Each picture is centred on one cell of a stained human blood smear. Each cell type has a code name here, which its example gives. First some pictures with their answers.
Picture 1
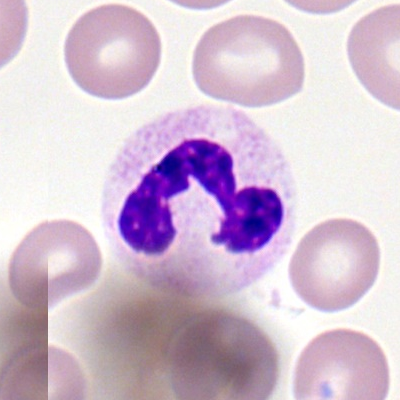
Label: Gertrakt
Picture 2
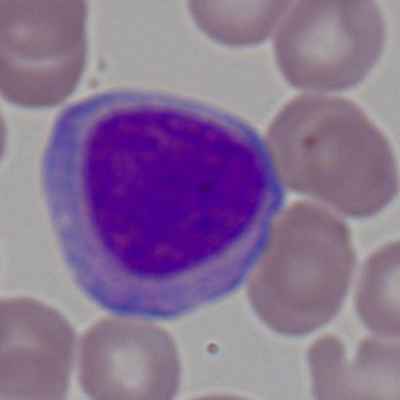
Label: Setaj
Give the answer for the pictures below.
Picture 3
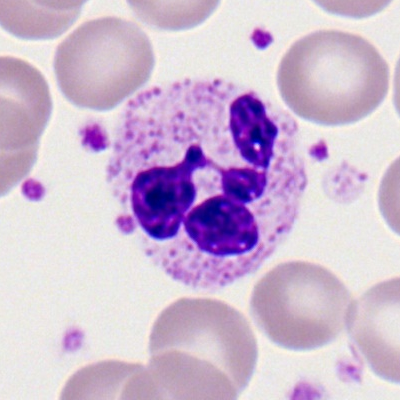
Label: Gertrakt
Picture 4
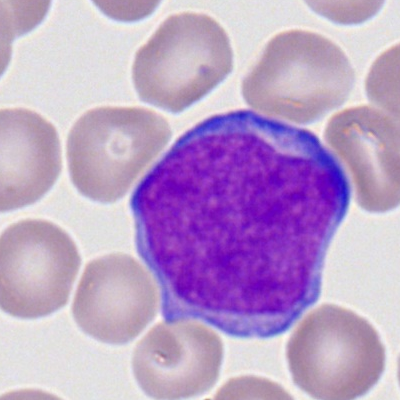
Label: Setaj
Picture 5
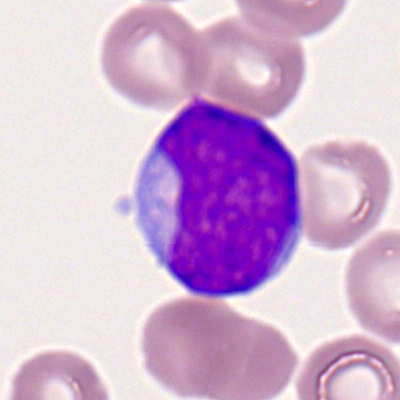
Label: Setaj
